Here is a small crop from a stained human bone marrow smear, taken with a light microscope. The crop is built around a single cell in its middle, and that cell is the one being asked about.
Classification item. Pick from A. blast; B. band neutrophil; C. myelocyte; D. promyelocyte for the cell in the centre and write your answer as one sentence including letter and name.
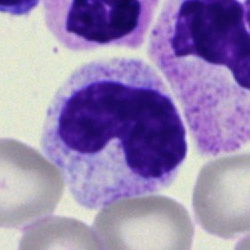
The central cell in this crop is a band neutrophil, so the correct choice is option B.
